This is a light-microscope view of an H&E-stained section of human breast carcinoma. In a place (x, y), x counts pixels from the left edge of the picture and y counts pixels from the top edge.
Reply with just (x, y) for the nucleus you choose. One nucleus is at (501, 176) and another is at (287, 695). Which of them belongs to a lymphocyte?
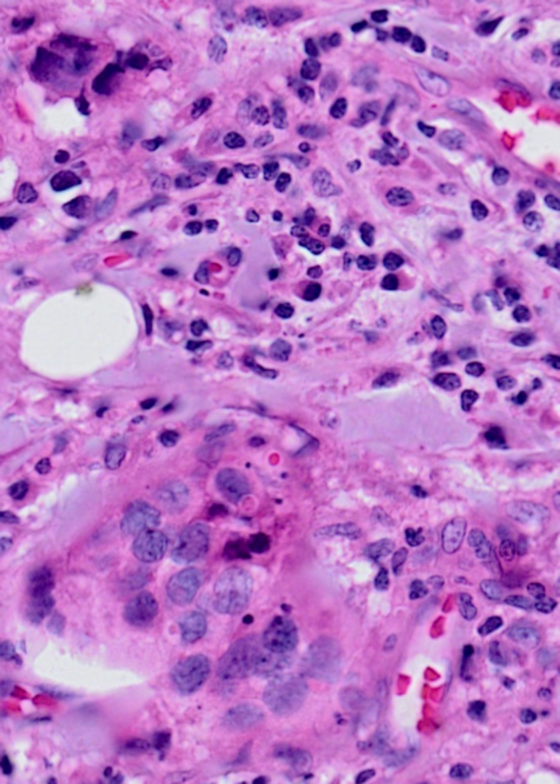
(501, 176)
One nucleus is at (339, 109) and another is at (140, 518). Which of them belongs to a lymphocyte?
(339, 109)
